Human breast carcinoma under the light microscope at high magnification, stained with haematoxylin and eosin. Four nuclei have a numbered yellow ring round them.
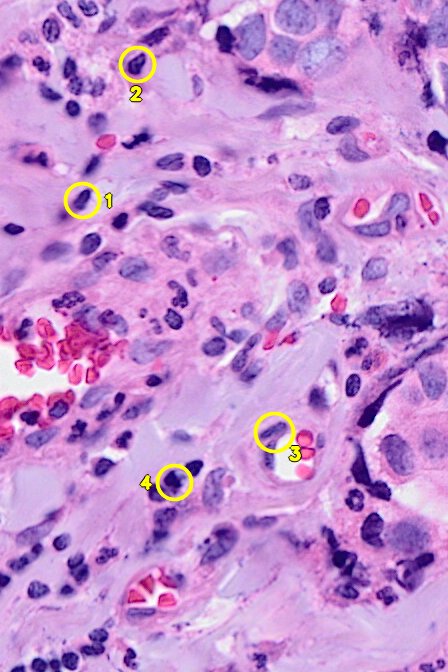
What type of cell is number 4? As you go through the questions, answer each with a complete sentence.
It is as a lymphocyte that the cell numbered 4 is identified.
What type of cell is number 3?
Within this field of view, the cell labelled 3 is an endothelial cell.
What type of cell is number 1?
The cell with the number 1 is a lymphocyte.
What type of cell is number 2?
The cell given label 2 is a lymphocyte.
